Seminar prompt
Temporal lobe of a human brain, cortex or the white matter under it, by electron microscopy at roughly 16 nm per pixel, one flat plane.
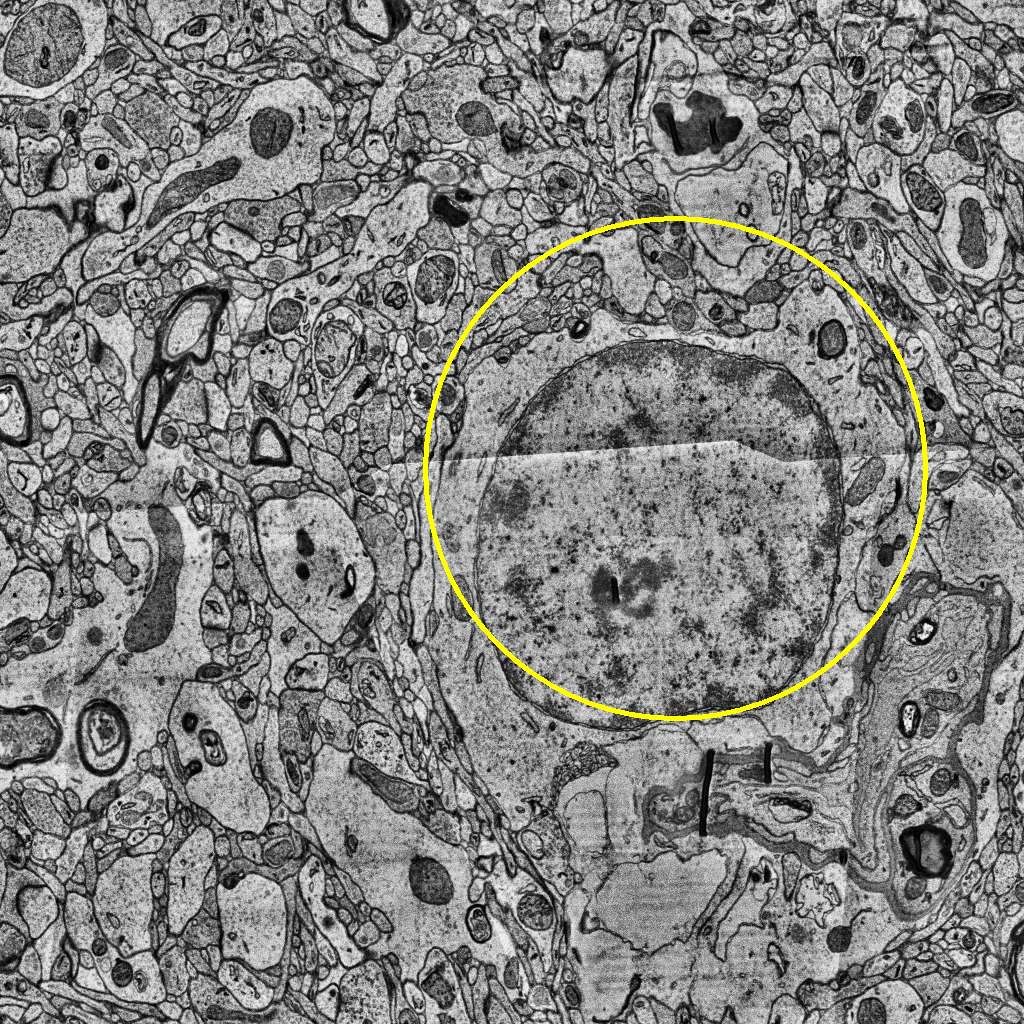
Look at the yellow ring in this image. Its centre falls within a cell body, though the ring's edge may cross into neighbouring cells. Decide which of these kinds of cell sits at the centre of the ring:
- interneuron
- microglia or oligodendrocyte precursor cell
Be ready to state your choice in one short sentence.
The kind of cell at the ring's centre is a microglial cell or oligodendrocyte precursor cell.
